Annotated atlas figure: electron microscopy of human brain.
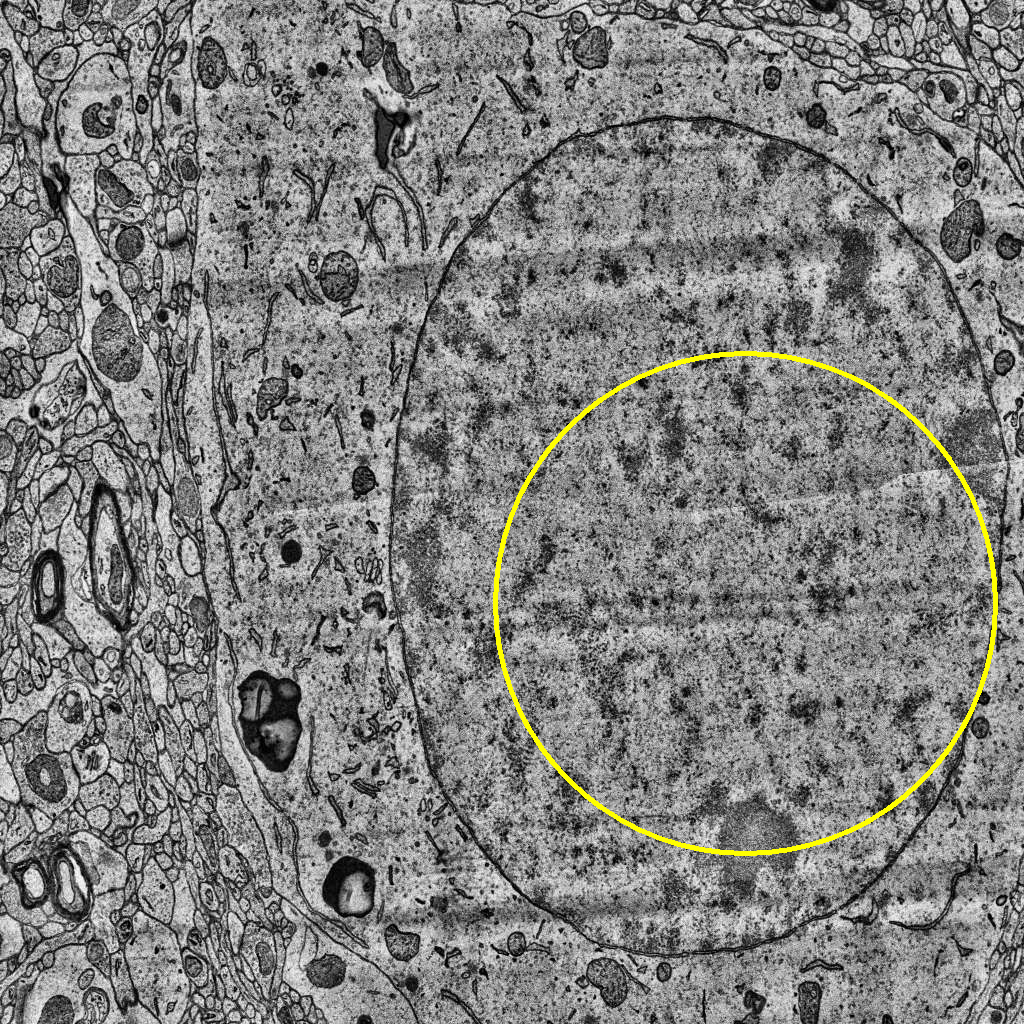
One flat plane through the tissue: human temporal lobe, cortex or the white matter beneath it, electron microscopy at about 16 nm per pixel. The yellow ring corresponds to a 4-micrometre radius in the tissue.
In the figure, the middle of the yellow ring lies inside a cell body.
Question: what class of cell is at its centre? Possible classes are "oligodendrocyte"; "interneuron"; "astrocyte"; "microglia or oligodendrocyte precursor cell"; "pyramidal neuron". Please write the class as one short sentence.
The yellow ring's centre lies in a pyramidal neuron.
